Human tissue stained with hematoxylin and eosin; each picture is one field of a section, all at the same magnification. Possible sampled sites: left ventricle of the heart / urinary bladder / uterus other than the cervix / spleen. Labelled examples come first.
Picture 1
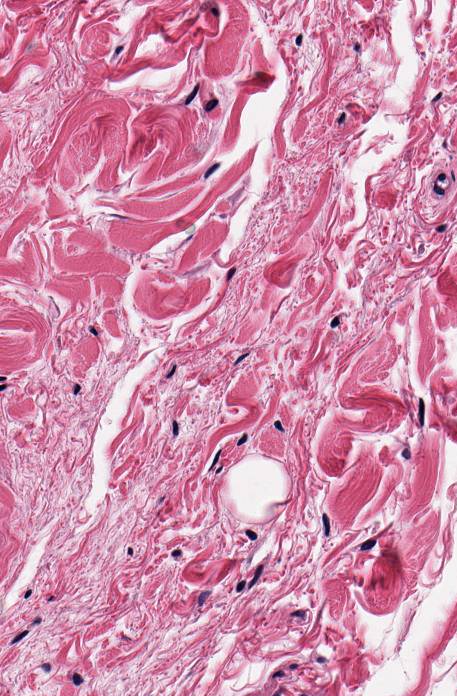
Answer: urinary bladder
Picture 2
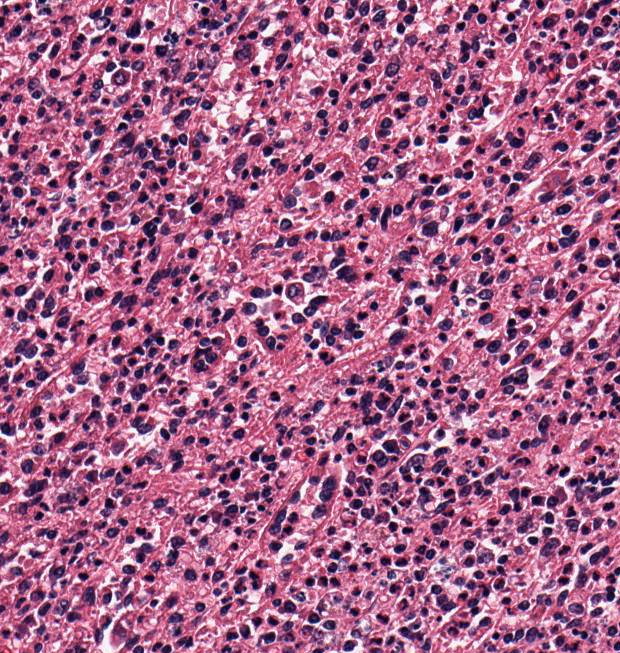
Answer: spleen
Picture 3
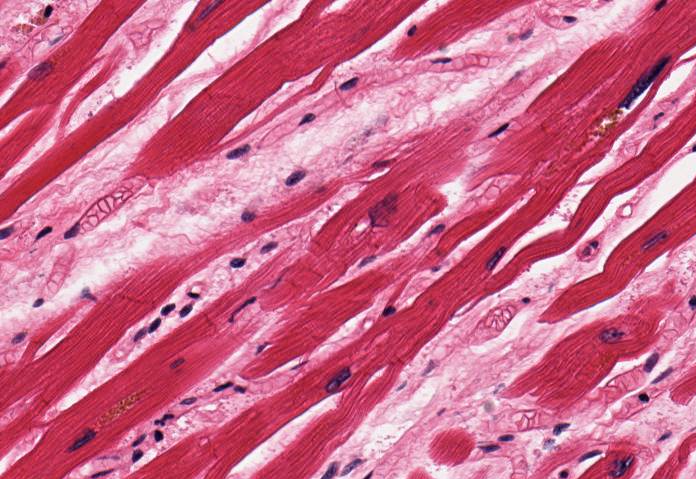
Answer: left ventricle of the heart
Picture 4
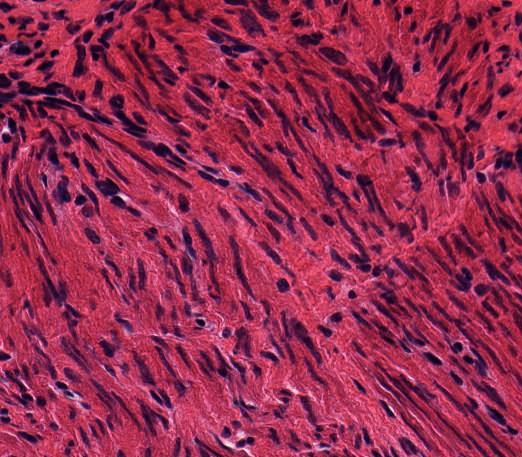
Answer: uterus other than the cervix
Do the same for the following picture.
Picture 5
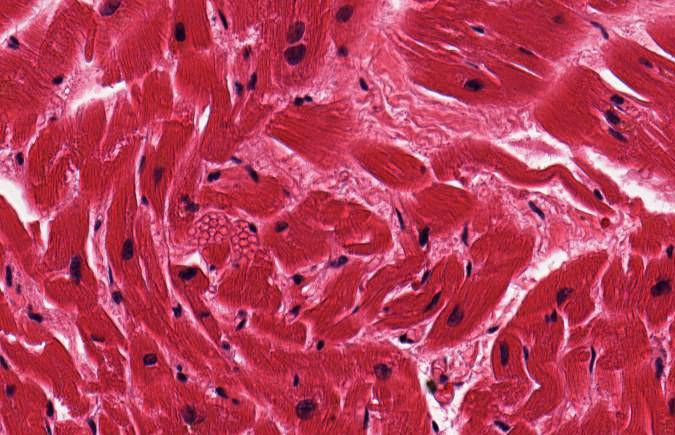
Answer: left ventricle of the heart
